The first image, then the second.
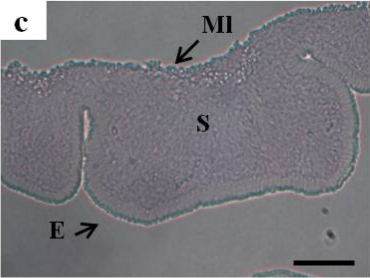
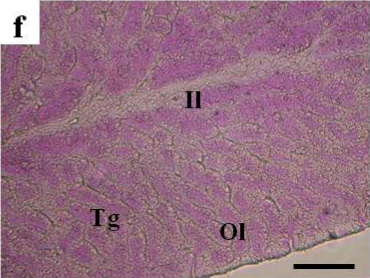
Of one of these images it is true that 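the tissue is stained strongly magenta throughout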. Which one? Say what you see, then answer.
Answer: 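The second image. First image: the tissue is pale grey with no magenta colour, only a faint greenish line along the surface.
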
